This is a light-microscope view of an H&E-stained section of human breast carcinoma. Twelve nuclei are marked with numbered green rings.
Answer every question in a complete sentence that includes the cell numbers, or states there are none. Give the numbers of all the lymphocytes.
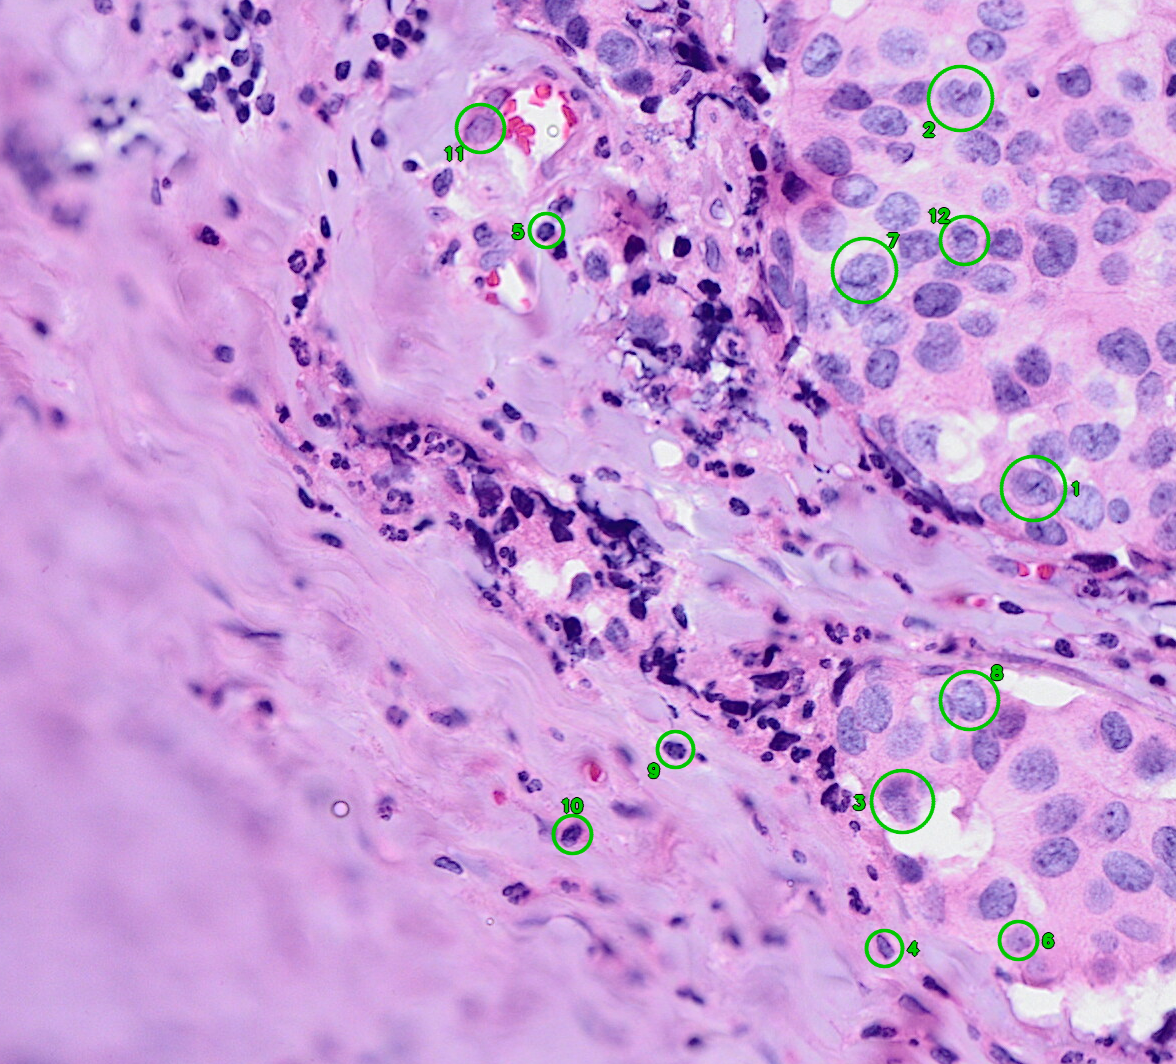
The cells tagged with numbers 5 and 9 are lymphocytes.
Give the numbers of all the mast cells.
To be specific, the cells numbered 4 and 10 are mast cells.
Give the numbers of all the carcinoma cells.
The identity of cells 1, 2, 3, 6, 7, 8 and 12: they are carcinoma cells.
